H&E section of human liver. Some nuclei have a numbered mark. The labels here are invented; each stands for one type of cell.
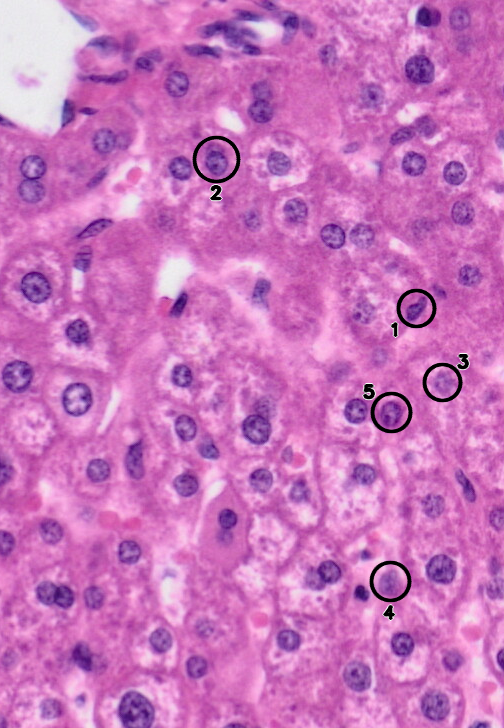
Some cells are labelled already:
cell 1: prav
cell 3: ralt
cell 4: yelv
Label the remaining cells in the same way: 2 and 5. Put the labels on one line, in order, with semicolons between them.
ralt; ralt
